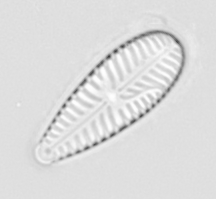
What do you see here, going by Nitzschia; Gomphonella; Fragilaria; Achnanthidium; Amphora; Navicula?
I see Gomphonella.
